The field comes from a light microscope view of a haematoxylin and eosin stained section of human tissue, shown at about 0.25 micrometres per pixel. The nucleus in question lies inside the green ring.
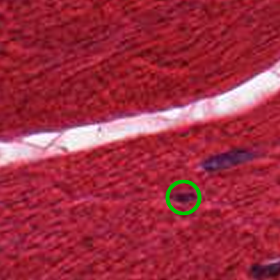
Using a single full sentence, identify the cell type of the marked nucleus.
On this slide, the marked nucleus belongs to a skeletal muscle fibre.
